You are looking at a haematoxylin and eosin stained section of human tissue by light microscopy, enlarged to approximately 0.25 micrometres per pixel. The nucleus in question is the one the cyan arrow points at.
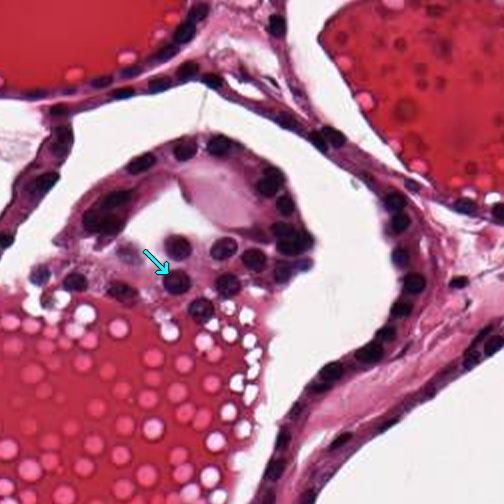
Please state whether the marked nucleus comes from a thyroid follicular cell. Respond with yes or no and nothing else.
yes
